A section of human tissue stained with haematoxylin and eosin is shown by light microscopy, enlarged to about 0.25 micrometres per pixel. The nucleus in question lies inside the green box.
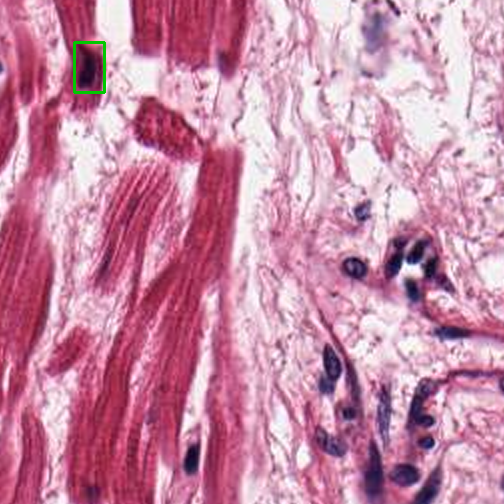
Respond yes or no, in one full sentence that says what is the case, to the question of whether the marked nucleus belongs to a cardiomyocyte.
Yes, within this field the marked nucleus is that of a cardiomyocyte.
